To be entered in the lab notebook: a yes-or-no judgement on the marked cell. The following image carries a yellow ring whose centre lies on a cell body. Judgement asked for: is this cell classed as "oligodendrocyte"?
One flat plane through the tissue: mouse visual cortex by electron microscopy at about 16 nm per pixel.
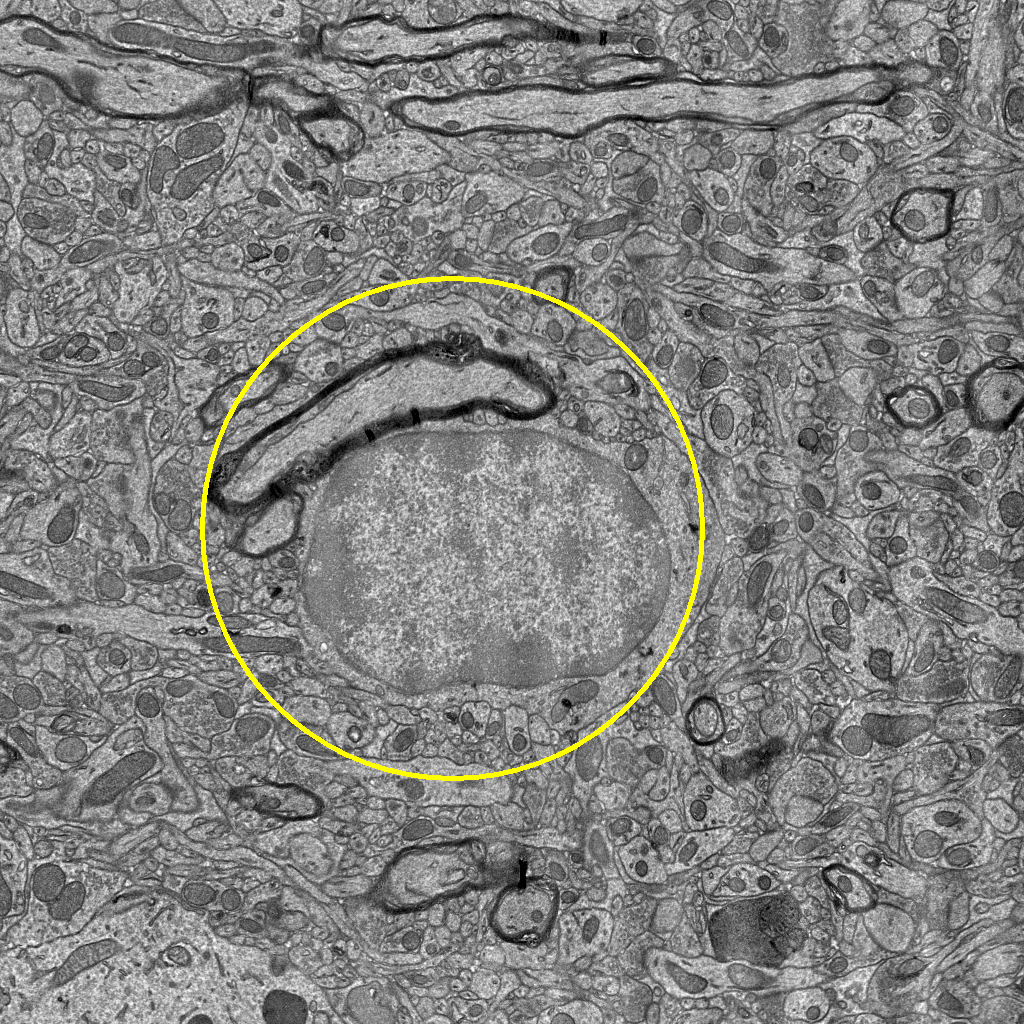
Yes, it is classed that way.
